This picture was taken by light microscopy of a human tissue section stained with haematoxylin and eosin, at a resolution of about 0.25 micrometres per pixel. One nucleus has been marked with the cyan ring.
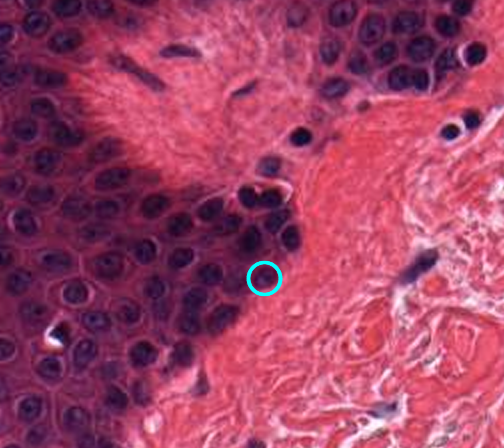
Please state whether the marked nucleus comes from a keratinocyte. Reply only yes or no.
yes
